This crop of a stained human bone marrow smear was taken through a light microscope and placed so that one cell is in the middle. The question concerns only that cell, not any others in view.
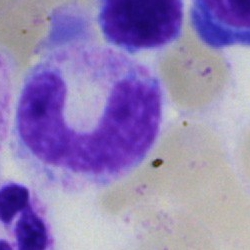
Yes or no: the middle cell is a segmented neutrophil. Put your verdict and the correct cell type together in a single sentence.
No, the cell occupying the centre is a band neutrophil, not a segmented neutrophil.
